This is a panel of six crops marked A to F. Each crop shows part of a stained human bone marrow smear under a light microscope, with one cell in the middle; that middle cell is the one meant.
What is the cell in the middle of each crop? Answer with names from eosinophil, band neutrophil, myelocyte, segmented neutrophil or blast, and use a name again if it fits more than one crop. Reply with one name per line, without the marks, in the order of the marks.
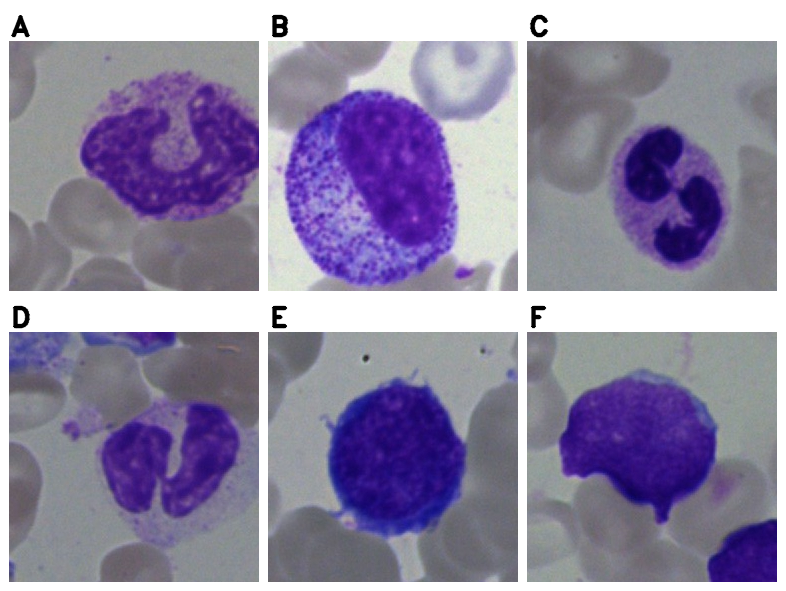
segmented neutrophil
myelocyte
segmented neutrophil
segmented neutrophil
blast
blast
